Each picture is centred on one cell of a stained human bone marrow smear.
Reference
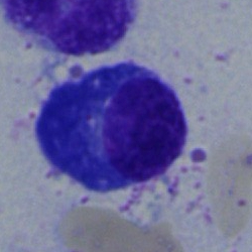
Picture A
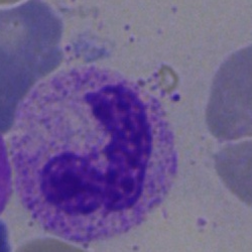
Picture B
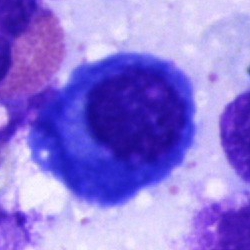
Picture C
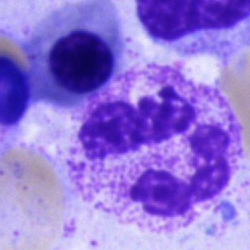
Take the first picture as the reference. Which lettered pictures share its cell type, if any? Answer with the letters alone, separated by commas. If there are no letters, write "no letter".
B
